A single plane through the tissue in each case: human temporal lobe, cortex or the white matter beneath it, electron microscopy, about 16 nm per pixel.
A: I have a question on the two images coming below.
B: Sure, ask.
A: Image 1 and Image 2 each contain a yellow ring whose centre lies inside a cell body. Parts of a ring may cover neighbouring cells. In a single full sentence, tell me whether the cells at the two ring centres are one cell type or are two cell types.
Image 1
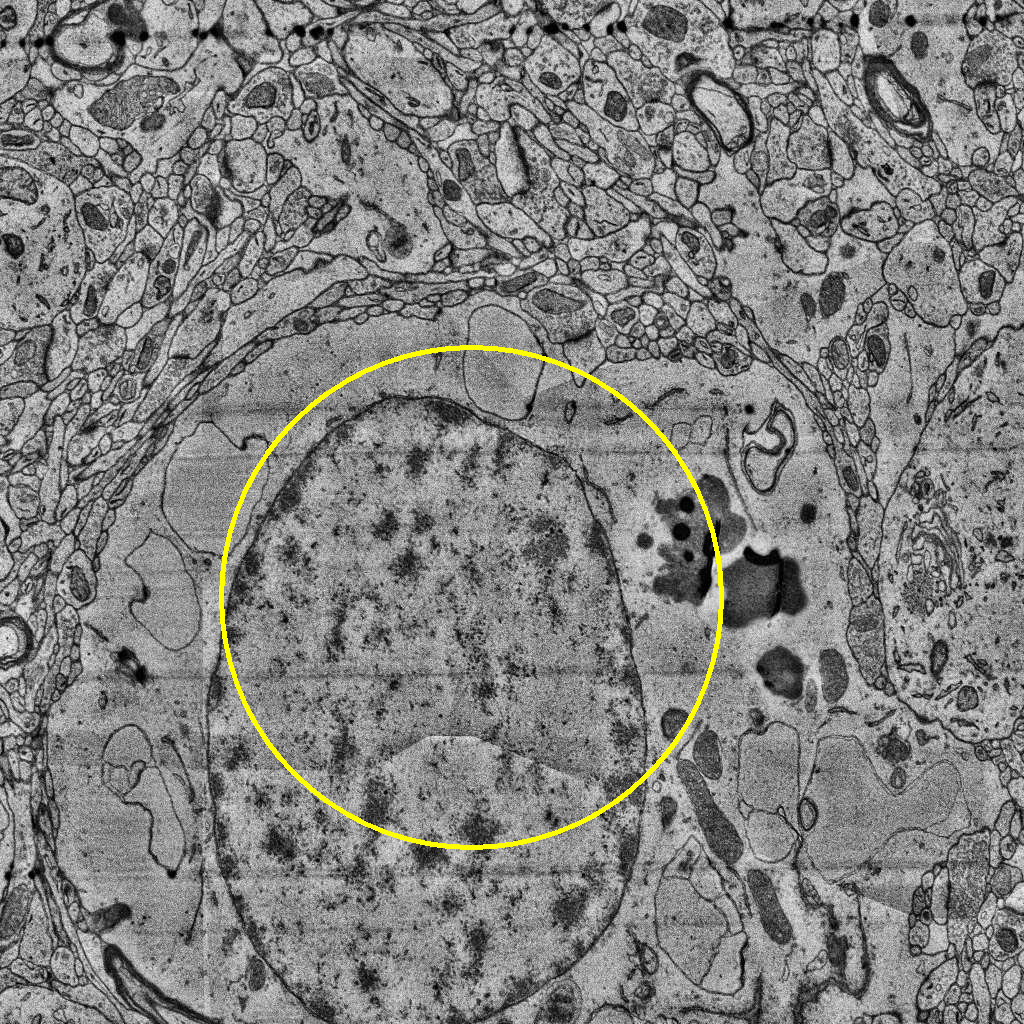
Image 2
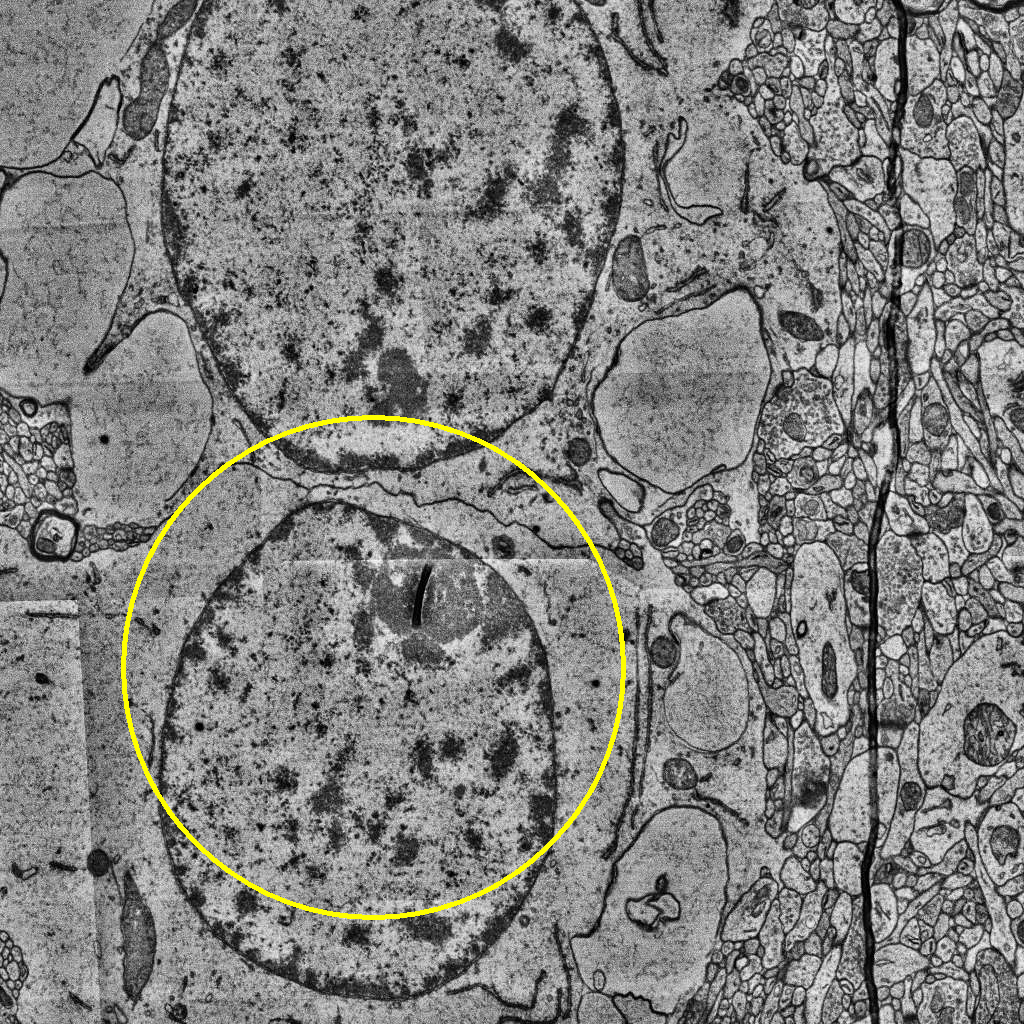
As for the ring-centre cells, the one in Image 1 and the one in Image 2 are one cell type.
